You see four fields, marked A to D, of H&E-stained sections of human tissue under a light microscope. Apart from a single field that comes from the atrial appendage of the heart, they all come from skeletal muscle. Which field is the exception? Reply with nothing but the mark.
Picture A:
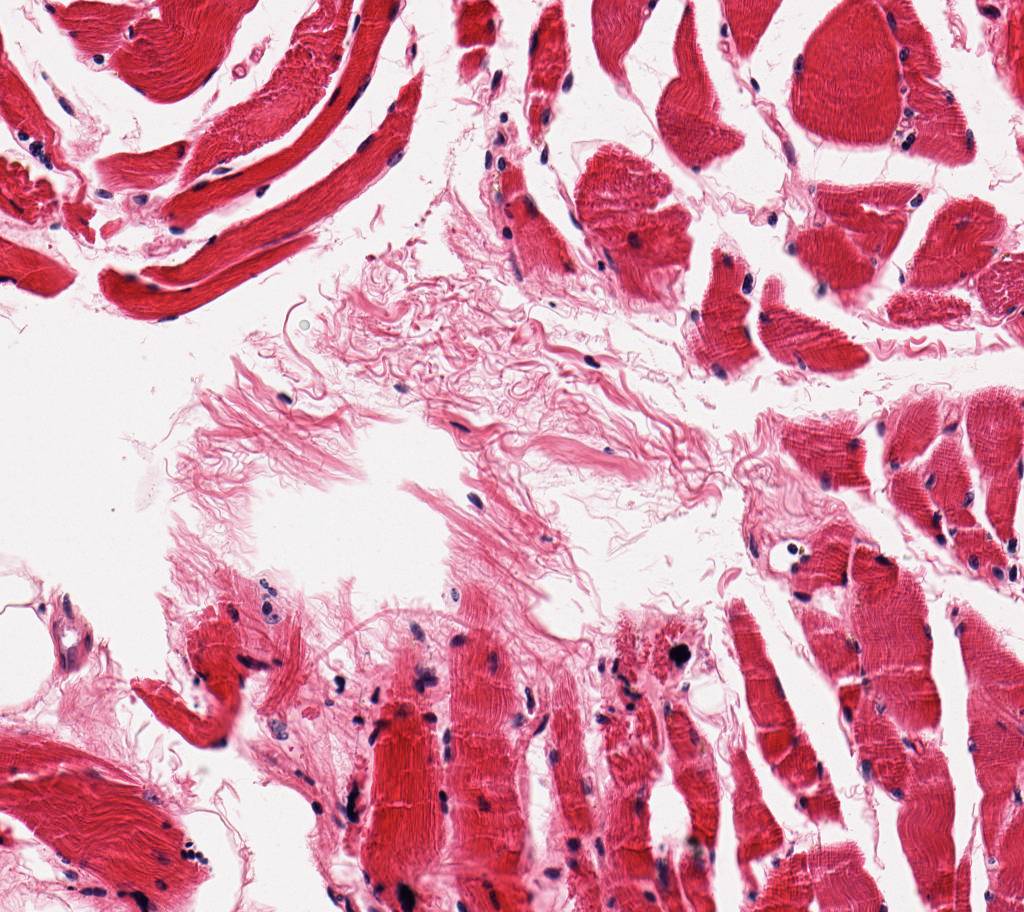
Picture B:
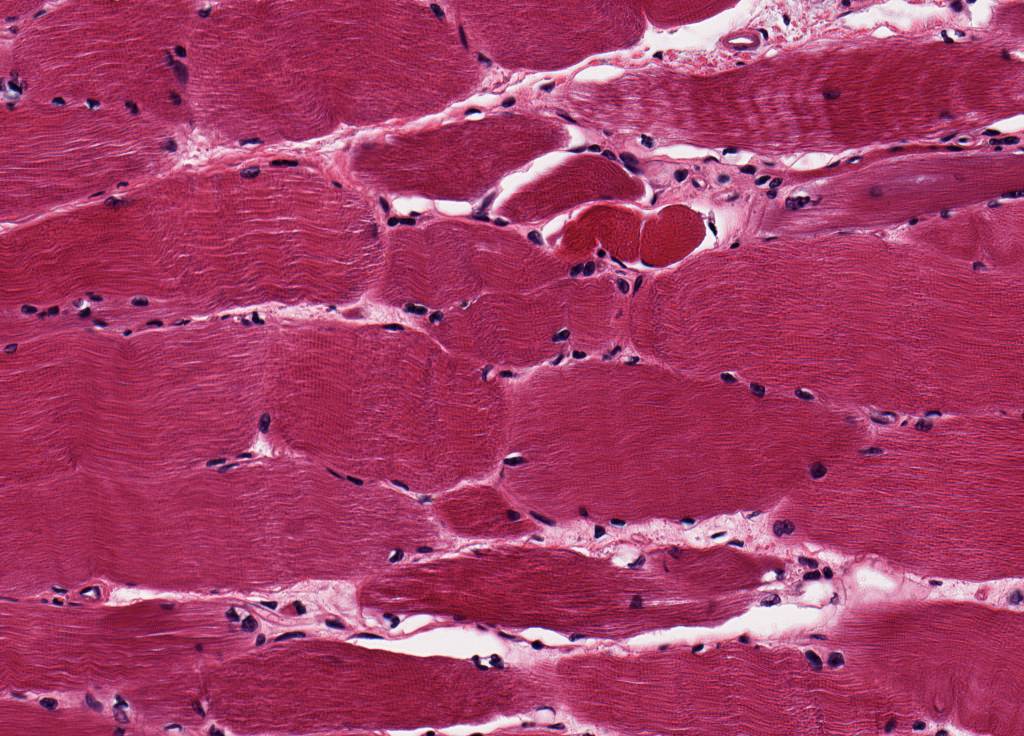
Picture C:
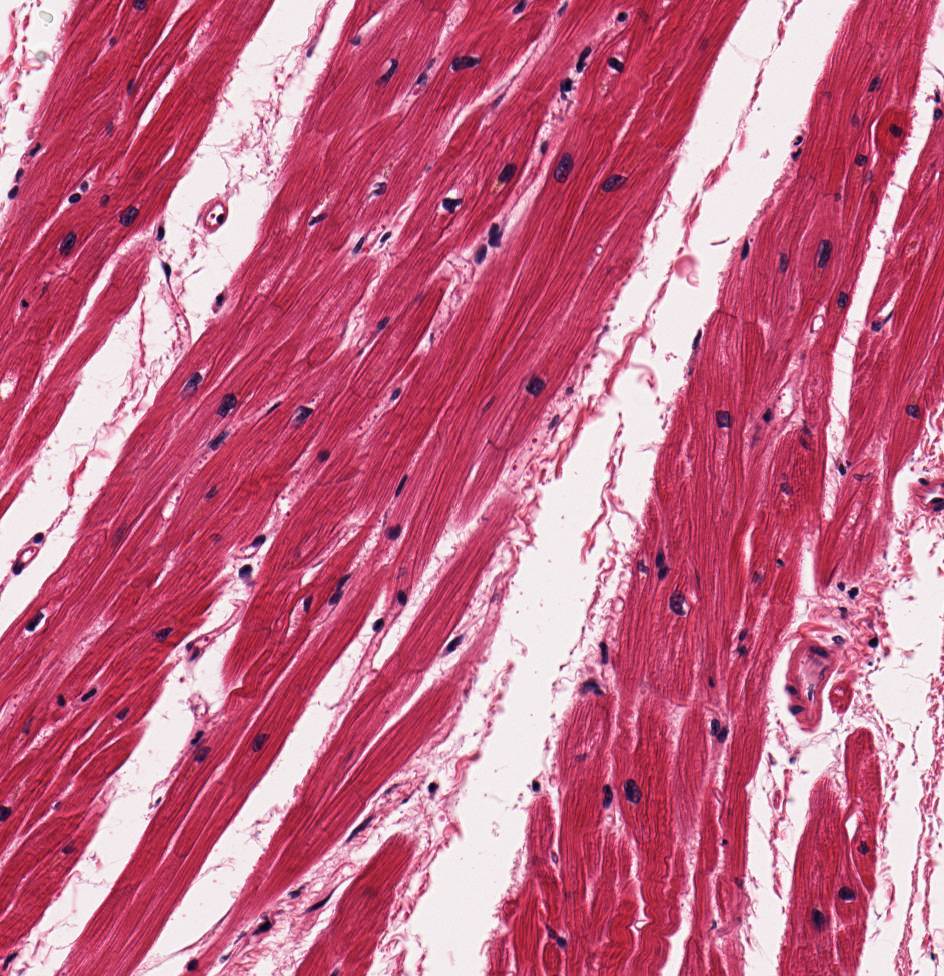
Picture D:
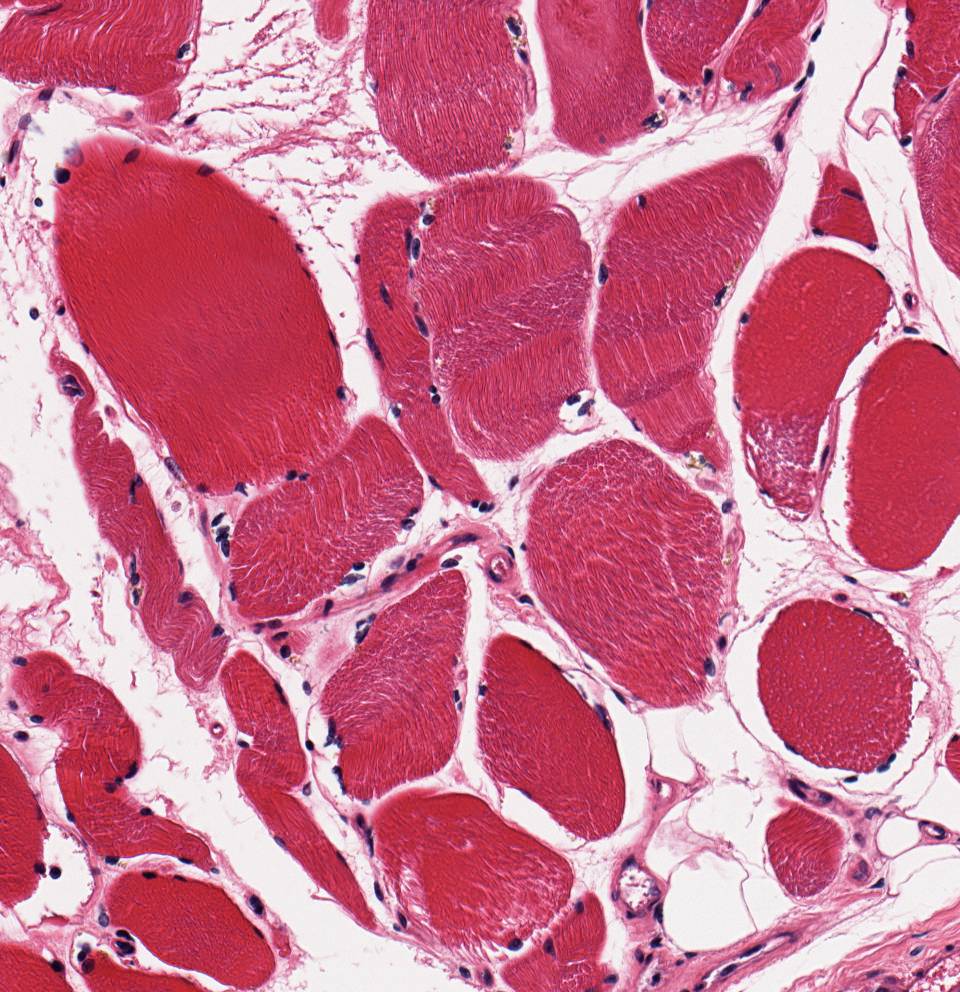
C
